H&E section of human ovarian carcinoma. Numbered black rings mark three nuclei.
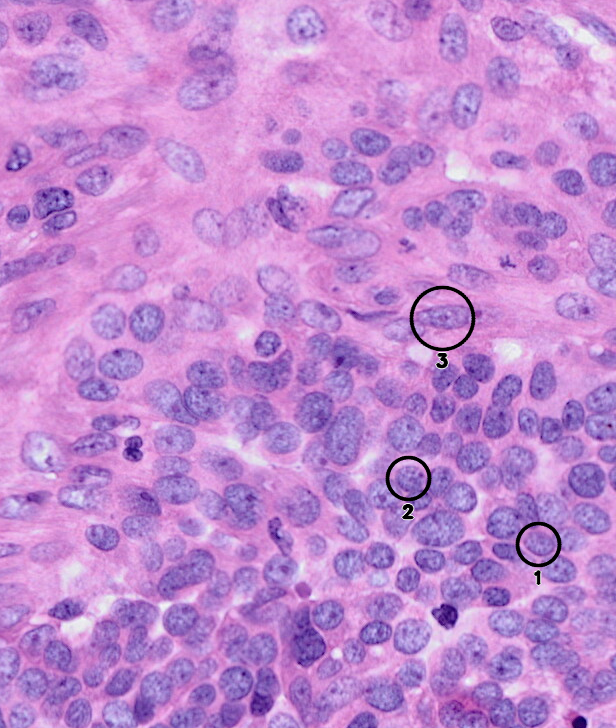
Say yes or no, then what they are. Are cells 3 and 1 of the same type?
No, cell 3 should be called a fibroblast, and cell 1 should be called a carcinoma cell.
